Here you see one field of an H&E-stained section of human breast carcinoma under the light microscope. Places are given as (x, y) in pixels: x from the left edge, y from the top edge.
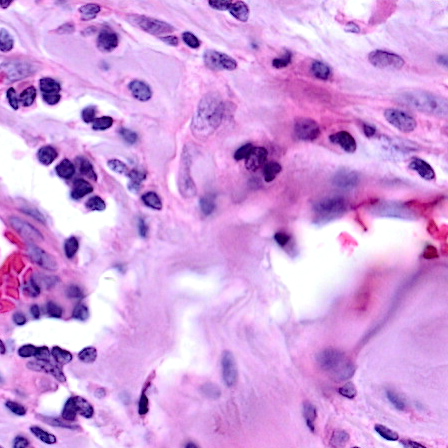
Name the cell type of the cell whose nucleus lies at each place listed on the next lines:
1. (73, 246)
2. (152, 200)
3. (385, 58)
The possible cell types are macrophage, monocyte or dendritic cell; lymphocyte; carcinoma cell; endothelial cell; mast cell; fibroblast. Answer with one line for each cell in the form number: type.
1: lymphocyte
2: lymphocyte
3: fibroblast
